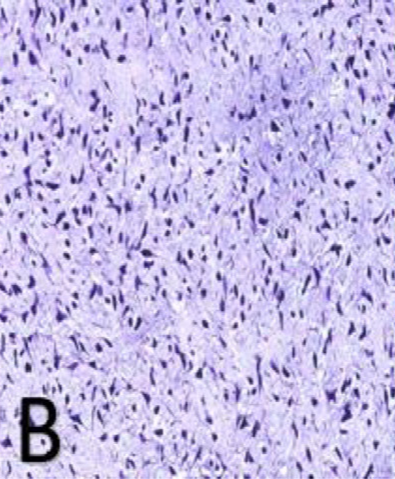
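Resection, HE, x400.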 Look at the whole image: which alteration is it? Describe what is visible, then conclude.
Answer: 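Spindle-shaped. Nuclei are elongated and tapered at both ends. Cells lie scattered in a pale background.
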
